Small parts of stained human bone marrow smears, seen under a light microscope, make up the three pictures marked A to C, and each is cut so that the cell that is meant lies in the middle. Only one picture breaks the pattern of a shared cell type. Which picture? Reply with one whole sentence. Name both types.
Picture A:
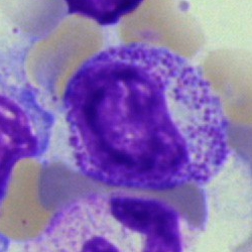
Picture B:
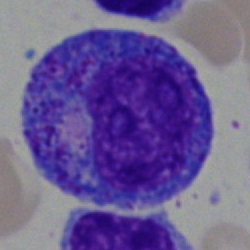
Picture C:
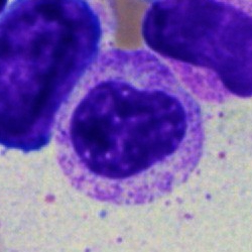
The different one is picture B; it shows a promyelocyte, whereas all the others show myelocytes.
